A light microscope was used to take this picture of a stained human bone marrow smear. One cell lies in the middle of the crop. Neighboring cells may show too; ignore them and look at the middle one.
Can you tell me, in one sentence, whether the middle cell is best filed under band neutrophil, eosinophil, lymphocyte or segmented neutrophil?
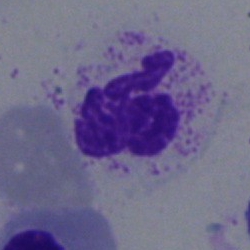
The cell found in the middle of this crop is a segmented neutrophil.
